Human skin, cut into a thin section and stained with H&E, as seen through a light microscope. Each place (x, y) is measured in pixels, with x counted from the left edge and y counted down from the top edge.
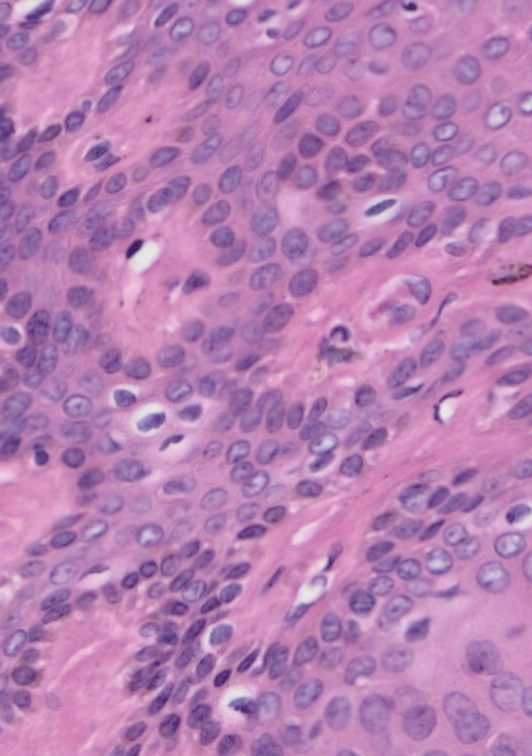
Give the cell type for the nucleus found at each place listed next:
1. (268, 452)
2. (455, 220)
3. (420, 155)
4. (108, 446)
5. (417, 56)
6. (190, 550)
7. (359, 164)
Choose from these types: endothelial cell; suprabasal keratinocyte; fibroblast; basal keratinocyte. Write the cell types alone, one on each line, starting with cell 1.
suprabasal keratinocyte
basal keratinocyte
suprabasal keratinocyte
basal keratinocyte
suprabasal keratinocyte
basal keratinocyte
basal keratinocyte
